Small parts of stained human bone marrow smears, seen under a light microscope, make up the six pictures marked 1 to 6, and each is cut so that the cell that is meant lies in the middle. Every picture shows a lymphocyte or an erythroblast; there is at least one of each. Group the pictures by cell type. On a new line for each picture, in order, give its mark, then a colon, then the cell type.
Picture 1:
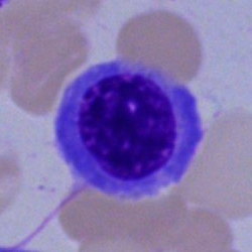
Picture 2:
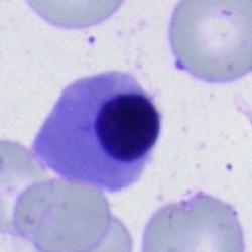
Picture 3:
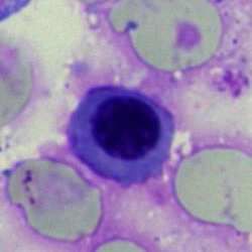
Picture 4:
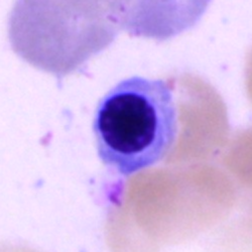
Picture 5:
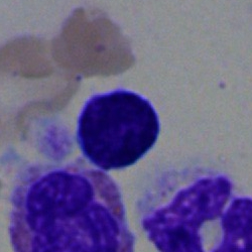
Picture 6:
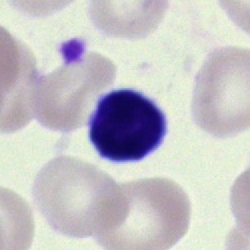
1: erythroblast
2: erythroblast
3: erythroblast
4: erythroblast
5: lymphocyte
6: lymphocyte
